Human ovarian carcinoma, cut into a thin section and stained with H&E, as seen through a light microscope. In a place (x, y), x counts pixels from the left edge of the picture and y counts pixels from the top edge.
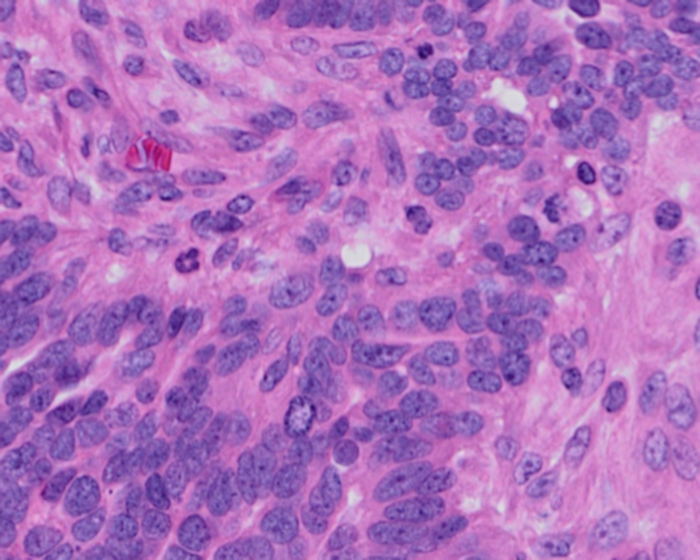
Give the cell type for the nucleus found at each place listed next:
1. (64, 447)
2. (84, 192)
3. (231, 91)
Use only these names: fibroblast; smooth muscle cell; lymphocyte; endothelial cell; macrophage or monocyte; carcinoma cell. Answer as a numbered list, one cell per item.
1. carcinoma cell
2. fibroblast
3. fibroblast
